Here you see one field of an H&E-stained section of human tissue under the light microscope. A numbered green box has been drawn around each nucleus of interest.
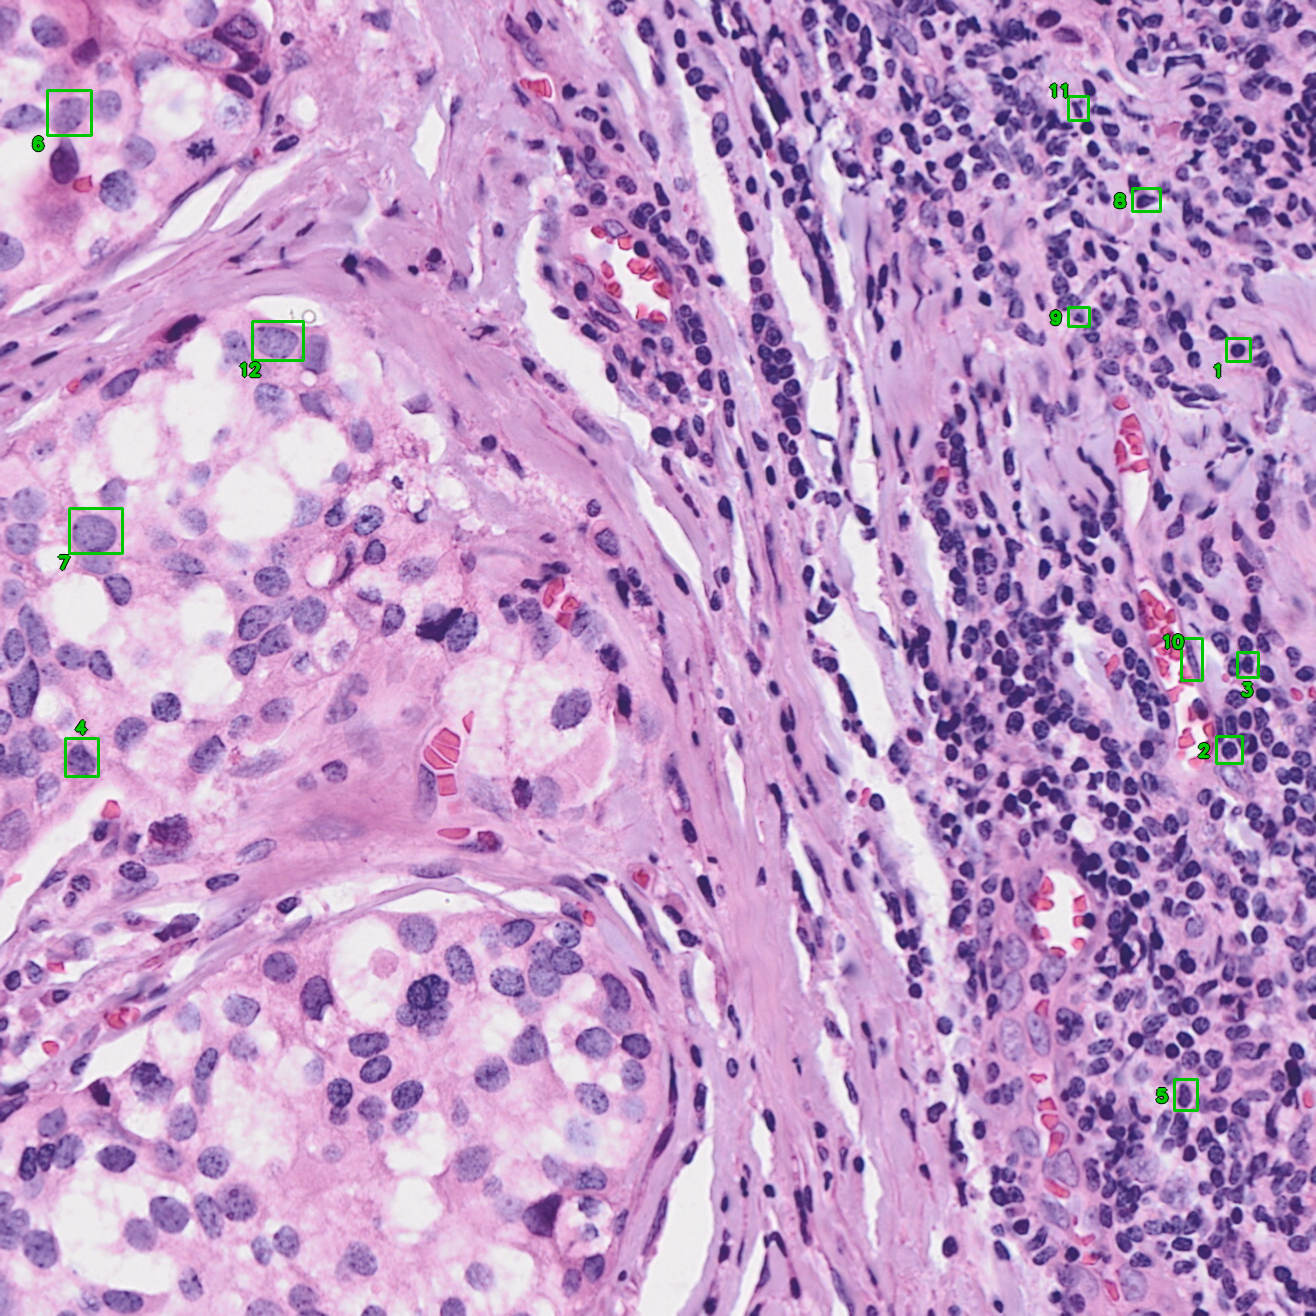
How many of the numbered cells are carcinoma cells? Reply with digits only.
4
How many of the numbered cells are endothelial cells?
1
